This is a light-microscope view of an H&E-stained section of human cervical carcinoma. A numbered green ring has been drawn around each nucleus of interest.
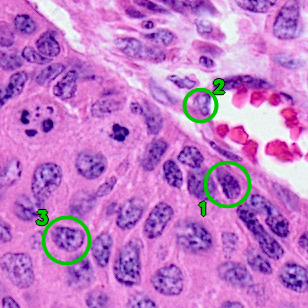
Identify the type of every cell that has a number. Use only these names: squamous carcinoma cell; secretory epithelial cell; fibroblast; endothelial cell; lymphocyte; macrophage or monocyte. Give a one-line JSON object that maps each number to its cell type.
{"1": "squamous carcinoma cell", "2": "endothelial cell", "3": "squamous carcinoma cell"}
